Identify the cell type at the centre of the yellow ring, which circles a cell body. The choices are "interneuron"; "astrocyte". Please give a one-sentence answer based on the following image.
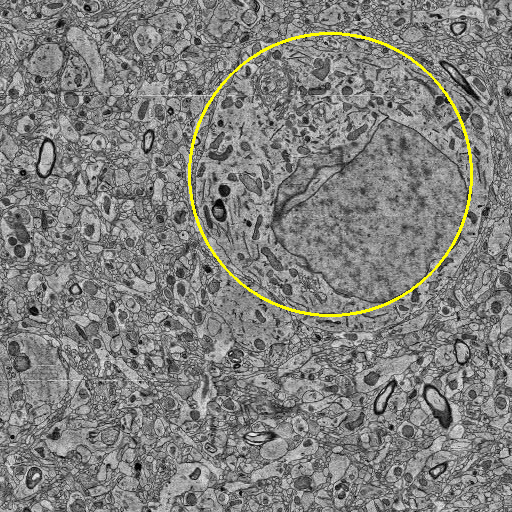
The cell marked by the ring is an interneuron.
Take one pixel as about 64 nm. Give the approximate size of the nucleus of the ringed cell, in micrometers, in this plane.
Approximately 13 x 11 micrometres in this plane.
